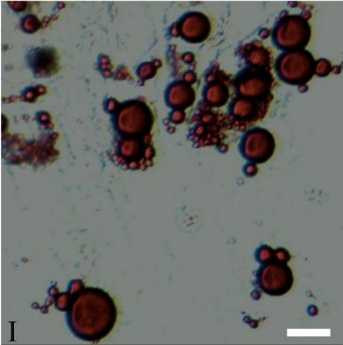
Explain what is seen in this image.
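The spheres vary greatly in size, from large globes to many tiny droplets gathered around them, some in small clusters. The background between them is pale and largely unstained.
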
